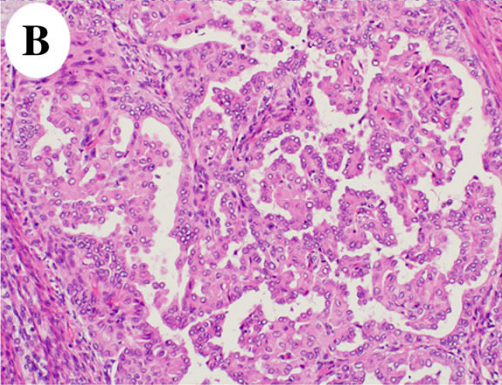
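This shows a papillary pattern of the tumor. Branching fronds with thin fibrovascular cores project into an open space. The fronds are covered by cuboidal to low columnar epithelial cells with pink cytoplasm and round nuclei. A band of pink smooth stroma runs along the edge of the field.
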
